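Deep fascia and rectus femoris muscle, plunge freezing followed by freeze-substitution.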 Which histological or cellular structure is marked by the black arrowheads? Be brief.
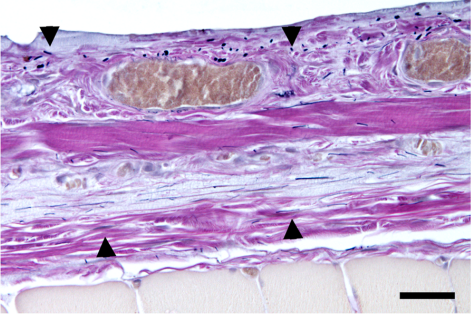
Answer: Elastic fibers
